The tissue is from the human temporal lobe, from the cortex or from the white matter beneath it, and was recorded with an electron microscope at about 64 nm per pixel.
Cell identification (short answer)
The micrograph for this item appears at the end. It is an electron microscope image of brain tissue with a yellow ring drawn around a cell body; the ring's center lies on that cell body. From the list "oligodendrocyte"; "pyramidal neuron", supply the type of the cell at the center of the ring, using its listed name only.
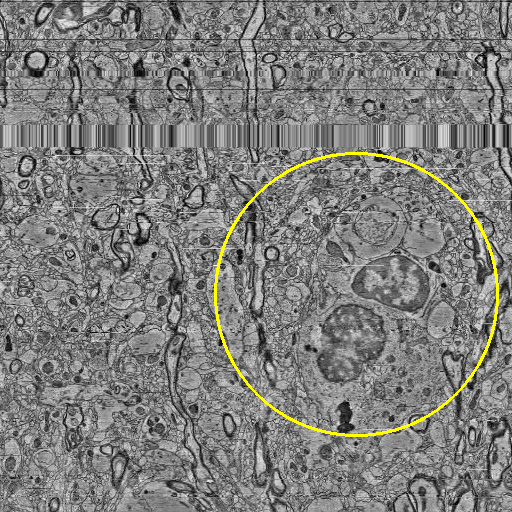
oligodendrocyte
